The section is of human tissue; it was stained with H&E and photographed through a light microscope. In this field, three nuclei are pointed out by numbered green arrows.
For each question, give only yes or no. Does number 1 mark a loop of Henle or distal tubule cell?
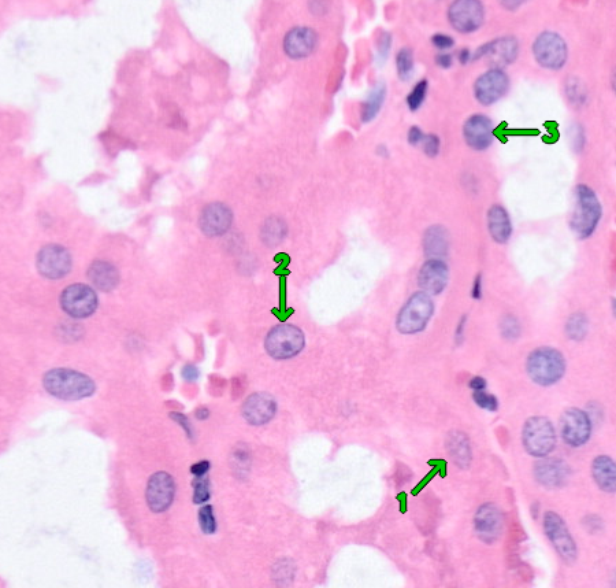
no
